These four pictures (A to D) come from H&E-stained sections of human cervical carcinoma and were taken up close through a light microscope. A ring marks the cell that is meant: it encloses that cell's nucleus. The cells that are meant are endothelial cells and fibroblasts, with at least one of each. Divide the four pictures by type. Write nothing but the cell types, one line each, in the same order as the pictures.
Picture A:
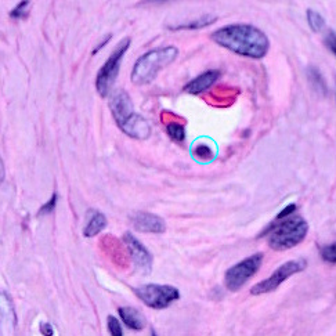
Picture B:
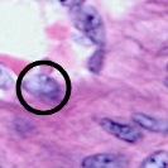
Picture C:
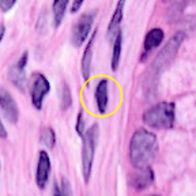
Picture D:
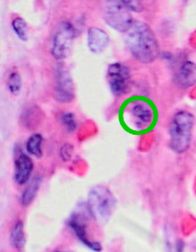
endothelial cell
endothelial cell
fibroblast
endothelial cell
